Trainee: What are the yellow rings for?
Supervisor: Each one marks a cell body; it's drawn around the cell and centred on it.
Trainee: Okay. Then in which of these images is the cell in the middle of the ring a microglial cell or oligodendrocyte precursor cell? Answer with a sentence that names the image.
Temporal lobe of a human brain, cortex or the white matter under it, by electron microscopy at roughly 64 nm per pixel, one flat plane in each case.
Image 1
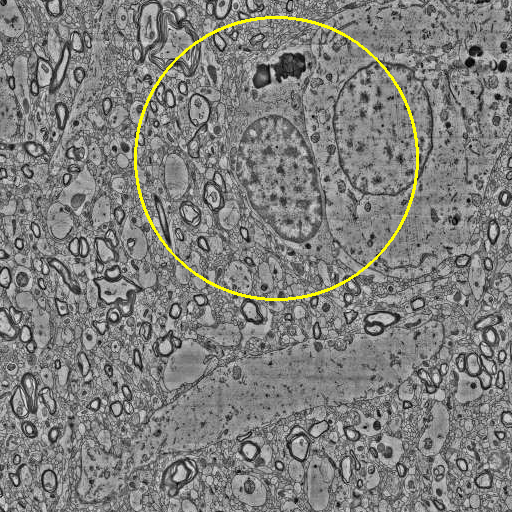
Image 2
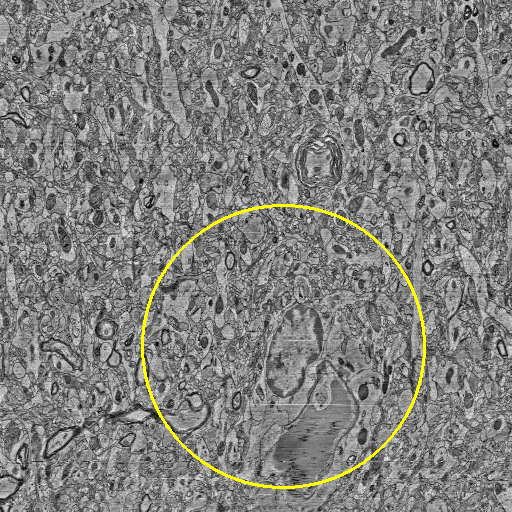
Image 2 has it in the middle of the ring.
